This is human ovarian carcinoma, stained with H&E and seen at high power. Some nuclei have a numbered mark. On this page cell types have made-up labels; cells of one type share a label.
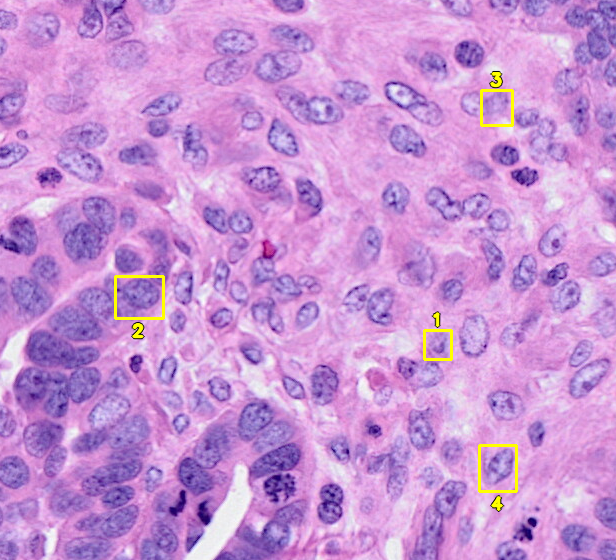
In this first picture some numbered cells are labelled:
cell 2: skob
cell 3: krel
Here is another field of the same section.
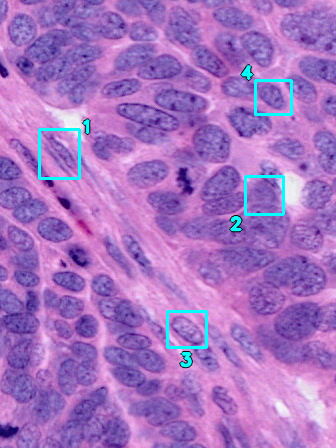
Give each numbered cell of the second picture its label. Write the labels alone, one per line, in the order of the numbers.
krel
skob
krel
skob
